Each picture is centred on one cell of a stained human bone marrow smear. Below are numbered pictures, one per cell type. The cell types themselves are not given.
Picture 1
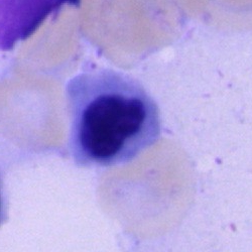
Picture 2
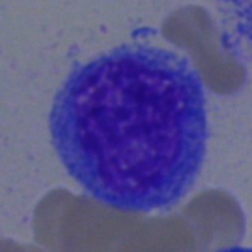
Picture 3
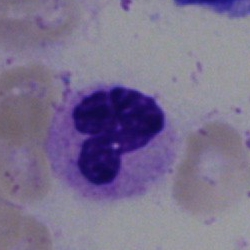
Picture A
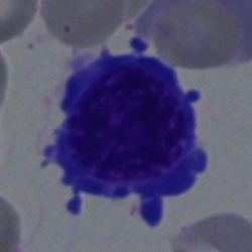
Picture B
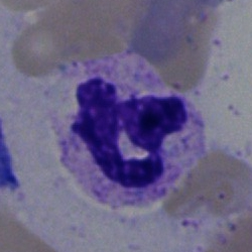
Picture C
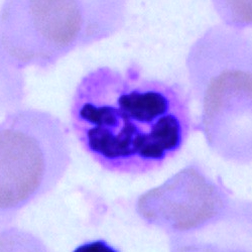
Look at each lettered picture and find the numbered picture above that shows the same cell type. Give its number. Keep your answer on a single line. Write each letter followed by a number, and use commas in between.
A 1, B 3, C 3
